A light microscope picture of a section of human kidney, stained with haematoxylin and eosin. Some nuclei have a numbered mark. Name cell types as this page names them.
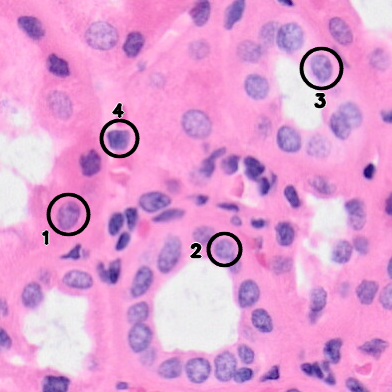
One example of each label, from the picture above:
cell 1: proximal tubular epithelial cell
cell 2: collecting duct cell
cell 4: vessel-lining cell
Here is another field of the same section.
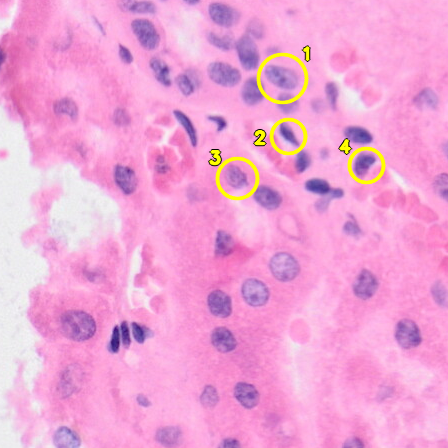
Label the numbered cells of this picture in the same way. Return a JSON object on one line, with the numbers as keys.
{"1": "collecting duct cell", "2": "vessel-lining cell", "3": "proximal tubular epithelial cell", "4": "vessel-lining cell"}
